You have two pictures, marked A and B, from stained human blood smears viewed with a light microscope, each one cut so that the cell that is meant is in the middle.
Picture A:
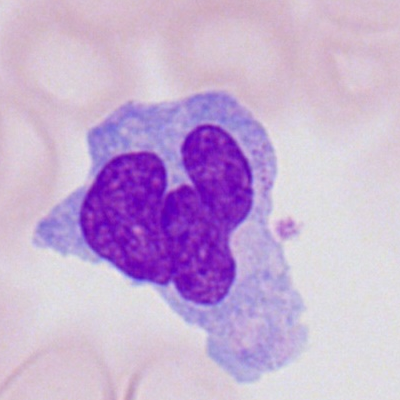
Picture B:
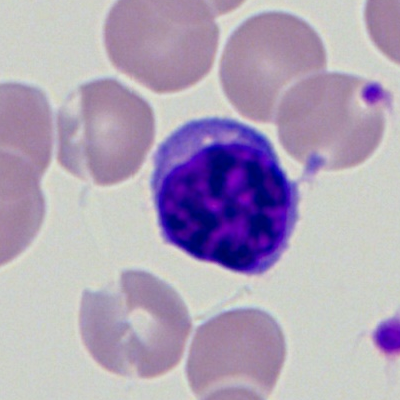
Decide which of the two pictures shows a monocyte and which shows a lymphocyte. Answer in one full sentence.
Picture B shows a lymphocyte, while picture A shows a monocyte.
